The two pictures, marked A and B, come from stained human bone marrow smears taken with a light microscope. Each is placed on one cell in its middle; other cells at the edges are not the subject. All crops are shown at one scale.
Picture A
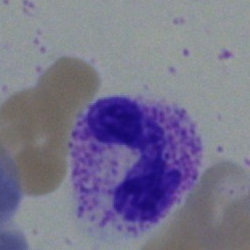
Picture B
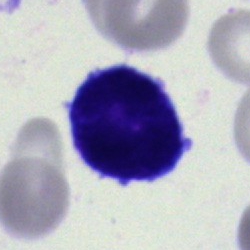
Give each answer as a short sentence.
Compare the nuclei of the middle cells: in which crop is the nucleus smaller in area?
The nucleus in picture A is smaller; the one in picture B has about 1.5 times its area.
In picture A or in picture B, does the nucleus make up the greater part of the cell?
Of the two, the nucleus in picture B makes up the greater part of its cell.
